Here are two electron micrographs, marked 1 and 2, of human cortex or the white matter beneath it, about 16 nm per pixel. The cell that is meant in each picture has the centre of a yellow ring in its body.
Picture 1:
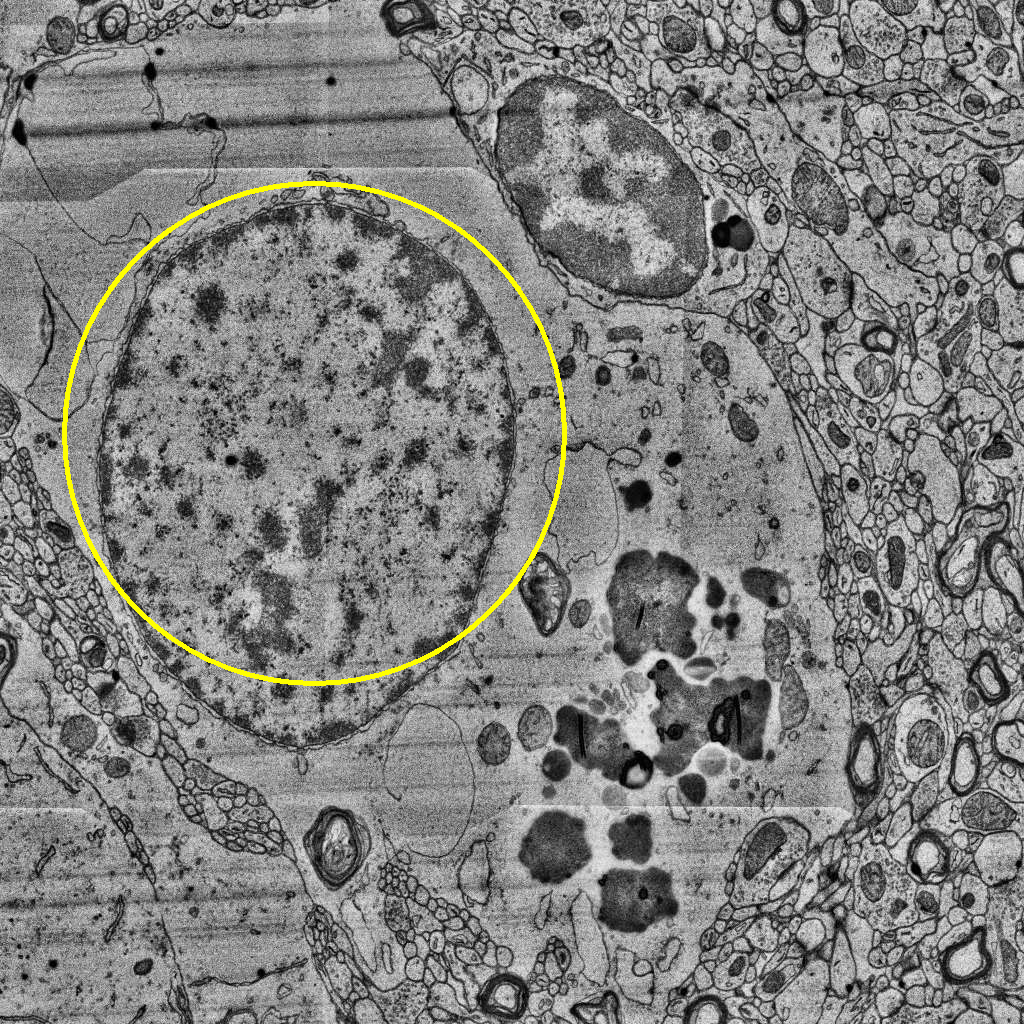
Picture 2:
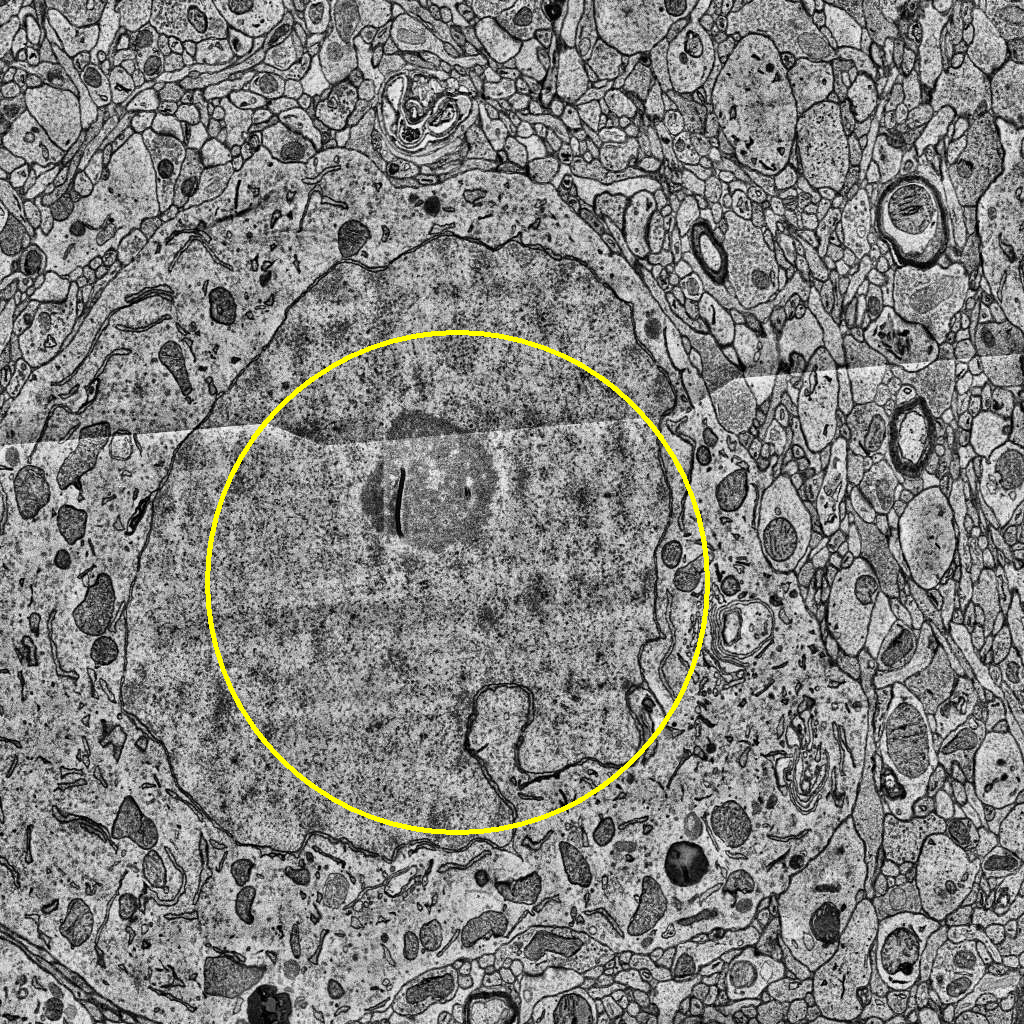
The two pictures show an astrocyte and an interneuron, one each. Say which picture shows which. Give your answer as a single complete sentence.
The cell in picture 1 is an astrocyte, and the one in picture 2 is an interneuron.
